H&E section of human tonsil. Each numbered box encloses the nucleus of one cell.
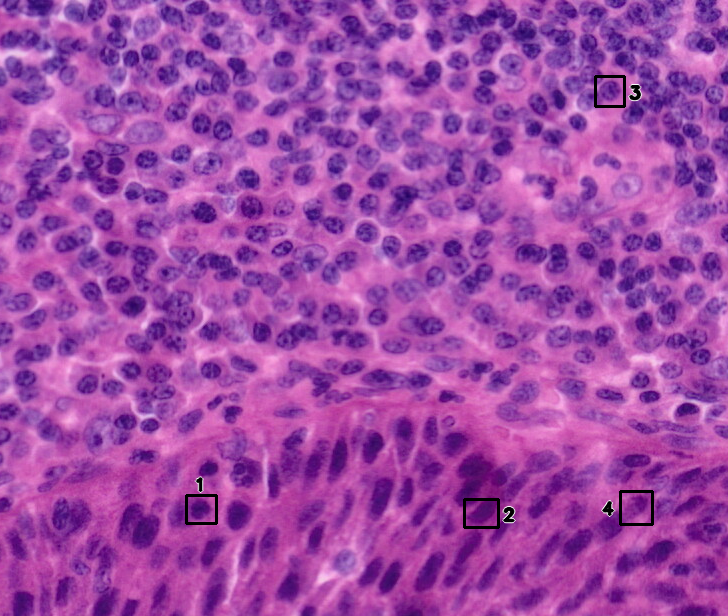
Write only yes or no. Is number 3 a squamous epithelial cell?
no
